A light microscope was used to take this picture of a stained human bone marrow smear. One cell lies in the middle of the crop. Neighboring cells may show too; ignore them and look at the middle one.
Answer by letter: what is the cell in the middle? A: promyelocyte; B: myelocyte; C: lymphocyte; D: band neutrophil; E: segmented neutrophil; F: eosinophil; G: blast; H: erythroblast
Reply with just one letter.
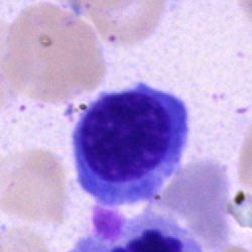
H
